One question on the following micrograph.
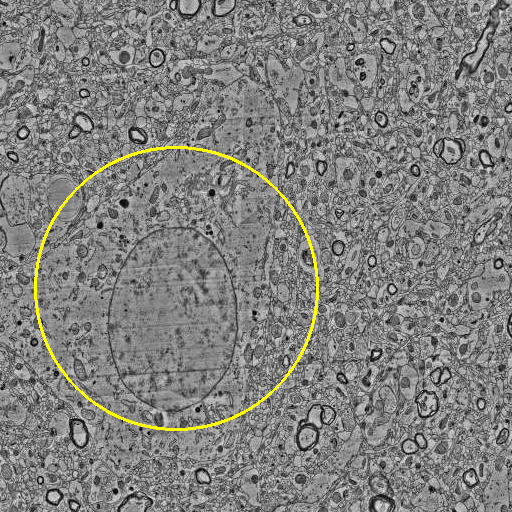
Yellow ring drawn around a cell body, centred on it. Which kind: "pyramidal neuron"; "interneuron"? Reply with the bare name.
pyramidal neuron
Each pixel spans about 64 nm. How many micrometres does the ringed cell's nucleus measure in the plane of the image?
In this plane the nucleus measures roughly 12 by 9 micrometres.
